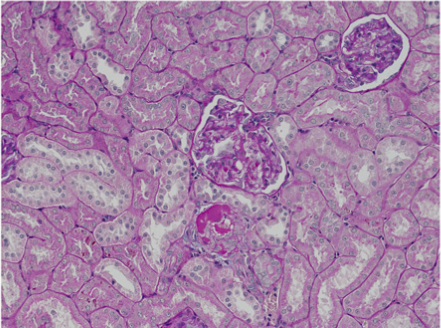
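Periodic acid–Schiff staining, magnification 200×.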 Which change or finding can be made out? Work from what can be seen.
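Below the central glomerulus a small vessel is filled with bright homogeneous magenta material. The vessel's normal layered wall is lost where the magenta material lies.
Answer: fibrinoid necrosis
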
